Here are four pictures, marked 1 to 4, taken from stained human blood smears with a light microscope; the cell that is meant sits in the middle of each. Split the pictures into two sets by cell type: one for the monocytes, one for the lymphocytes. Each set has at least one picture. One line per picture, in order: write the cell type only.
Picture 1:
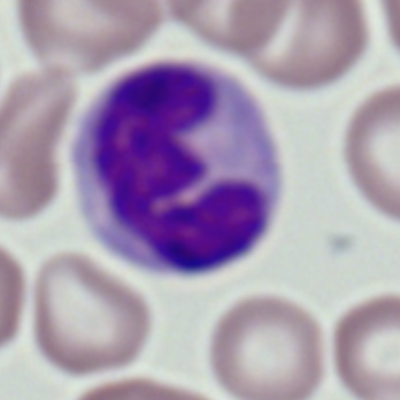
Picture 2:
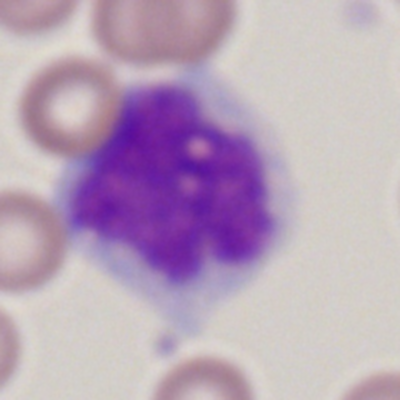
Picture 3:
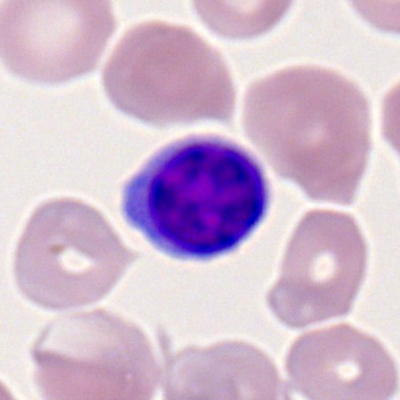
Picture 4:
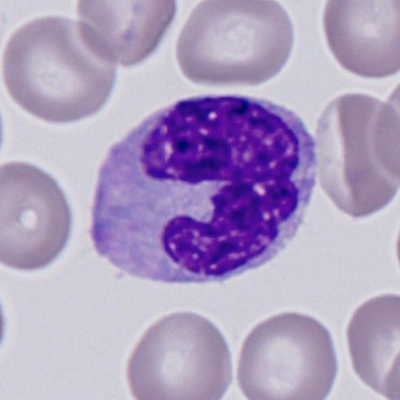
monocyte
monocyte
lymphocyte
monocyte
